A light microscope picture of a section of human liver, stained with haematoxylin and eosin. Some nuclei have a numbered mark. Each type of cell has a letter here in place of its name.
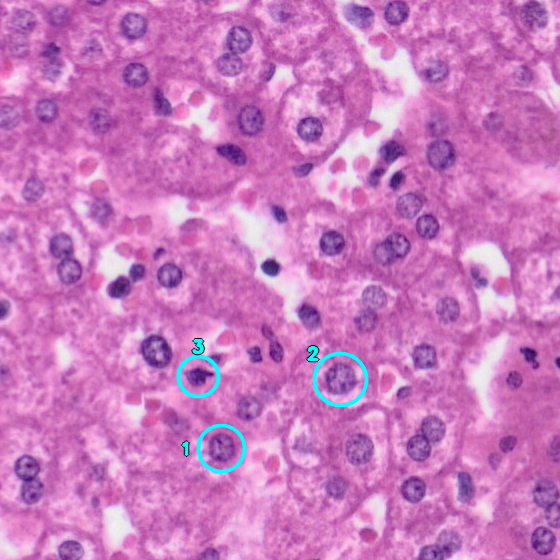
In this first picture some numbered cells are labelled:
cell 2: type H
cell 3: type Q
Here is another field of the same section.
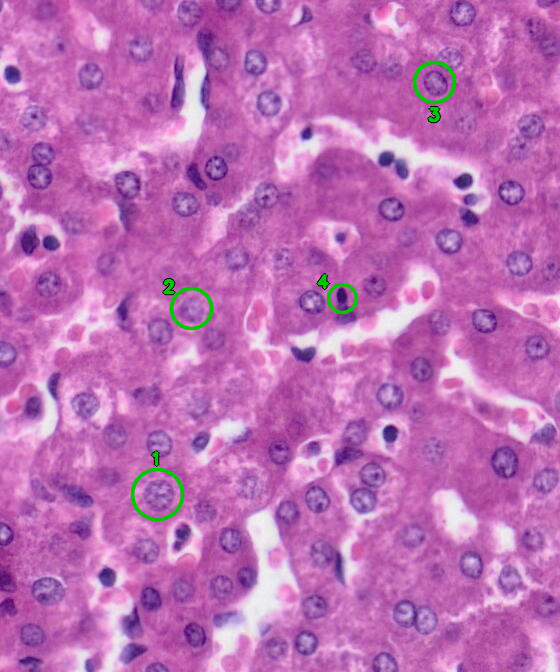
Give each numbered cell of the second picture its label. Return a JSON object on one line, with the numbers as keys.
{"1": "type H", "2": "type H", "3": "type H", "4": "type Q"}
